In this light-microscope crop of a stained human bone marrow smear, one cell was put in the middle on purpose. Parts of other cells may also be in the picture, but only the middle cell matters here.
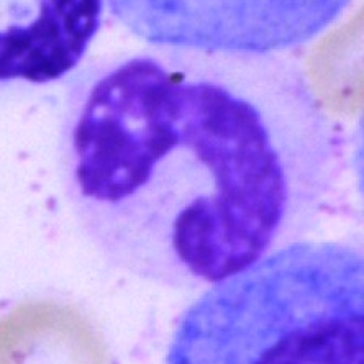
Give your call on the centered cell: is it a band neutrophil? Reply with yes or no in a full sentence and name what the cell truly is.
Yes, the cell found in the middle is a band neutrophil.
